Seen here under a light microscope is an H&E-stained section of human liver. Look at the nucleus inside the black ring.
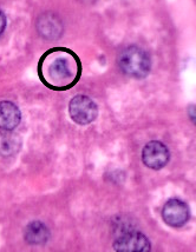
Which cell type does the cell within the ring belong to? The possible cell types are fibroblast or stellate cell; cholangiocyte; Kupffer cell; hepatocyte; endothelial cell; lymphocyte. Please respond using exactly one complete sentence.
Among the cells in this section, the cell within the ring is an endothelial cell.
